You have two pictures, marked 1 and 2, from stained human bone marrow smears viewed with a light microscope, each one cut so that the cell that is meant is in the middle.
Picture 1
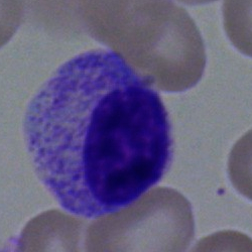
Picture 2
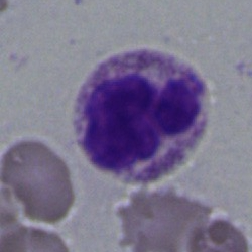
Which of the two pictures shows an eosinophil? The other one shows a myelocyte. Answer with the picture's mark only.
2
